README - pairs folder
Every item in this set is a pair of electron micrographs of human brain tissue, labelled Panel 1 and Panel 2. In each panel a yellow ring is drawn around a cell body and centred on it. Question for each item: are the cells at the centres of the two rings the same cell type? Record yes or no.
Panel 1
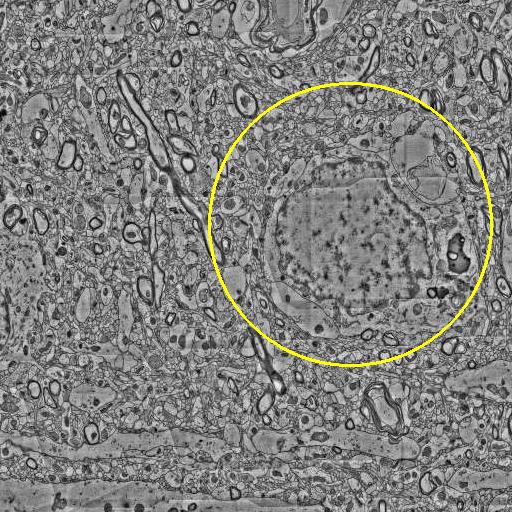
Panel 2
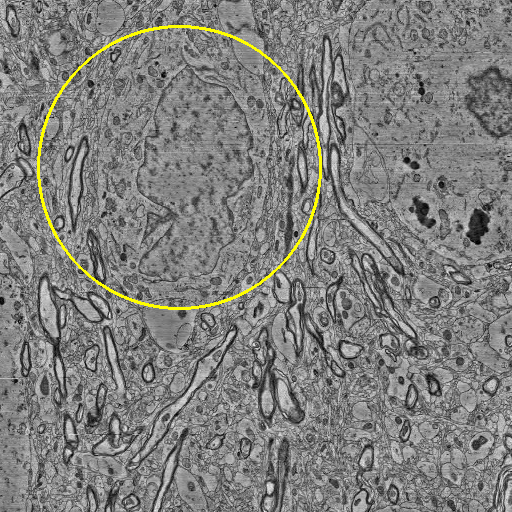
yes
